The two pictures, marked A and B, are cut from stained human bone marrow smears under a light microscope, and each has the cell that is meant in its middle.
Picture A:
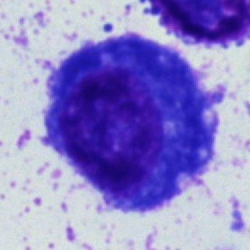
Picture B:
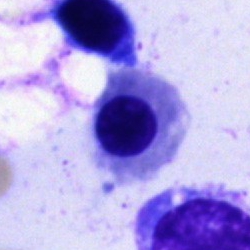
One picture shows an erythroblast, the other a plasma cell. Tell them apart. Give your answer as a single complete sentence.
It is picture A that shows a plasma cell, and picture B that shows an erythroblast.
